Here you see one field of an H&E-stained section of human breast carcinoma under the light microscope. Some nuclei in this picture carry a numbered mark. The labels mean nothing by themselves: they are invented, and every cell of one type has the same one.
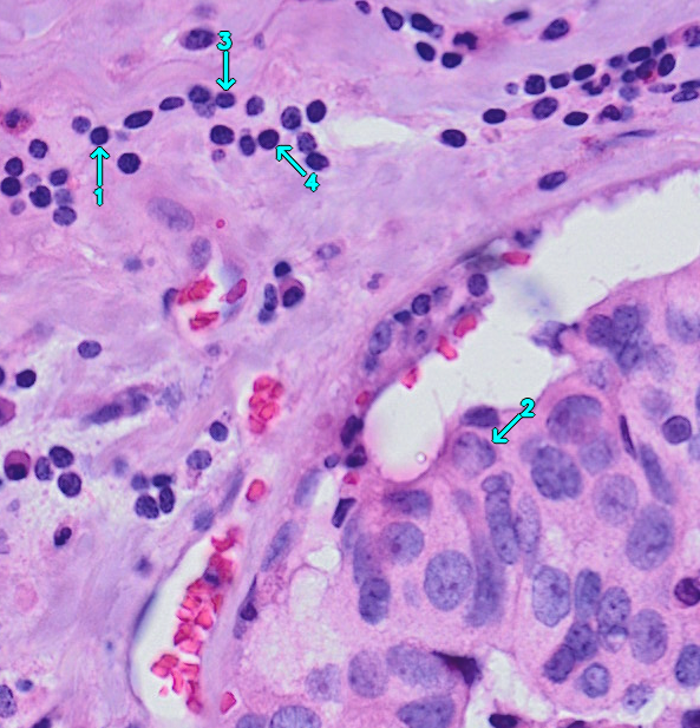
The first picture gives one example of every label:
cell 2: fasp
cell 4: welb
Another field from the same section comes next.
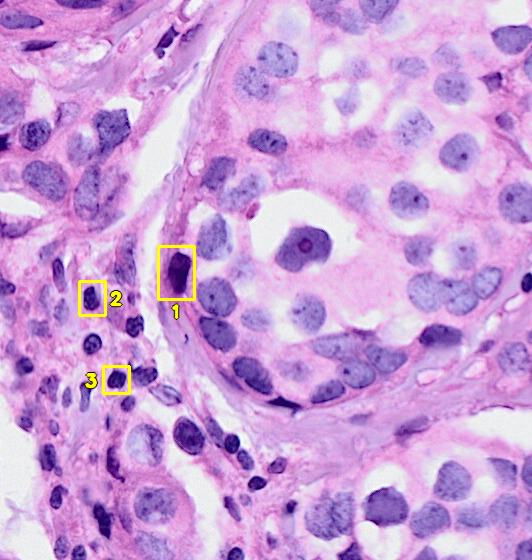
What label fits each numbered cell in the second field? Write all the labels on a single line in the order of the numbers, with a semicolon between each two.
fasp; welb; welb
